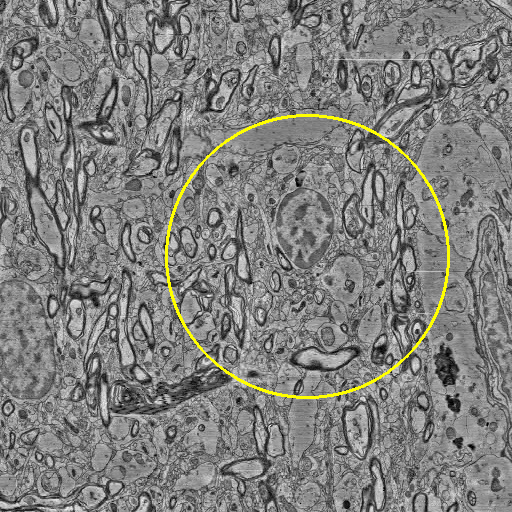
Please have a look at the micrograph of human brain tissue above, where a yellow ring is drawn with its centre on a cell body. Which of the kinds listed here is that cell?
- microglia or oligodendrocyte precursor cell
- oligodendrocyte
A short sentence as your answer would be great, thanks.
At the centre of the ring sits a microglial cell or oligodendrocyte precursor cell.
